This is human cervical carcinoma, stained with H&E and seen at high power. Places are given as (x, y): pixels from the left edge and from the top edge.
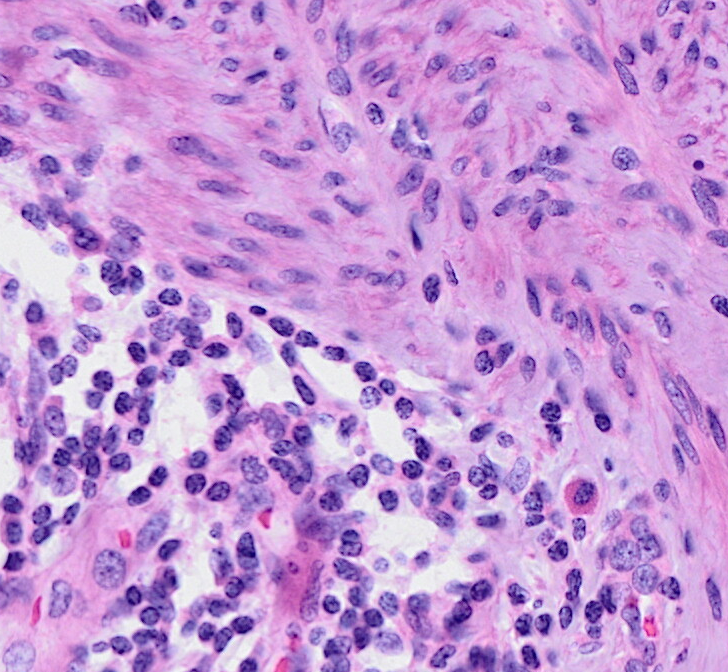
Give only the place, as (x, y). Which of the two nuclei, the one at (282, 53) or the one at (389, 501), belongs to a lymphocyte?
(389, 501)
